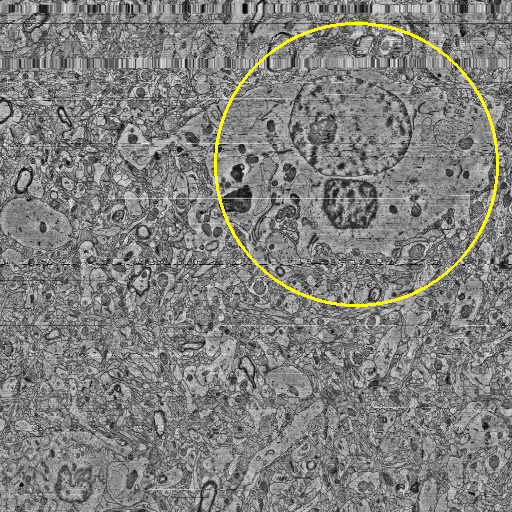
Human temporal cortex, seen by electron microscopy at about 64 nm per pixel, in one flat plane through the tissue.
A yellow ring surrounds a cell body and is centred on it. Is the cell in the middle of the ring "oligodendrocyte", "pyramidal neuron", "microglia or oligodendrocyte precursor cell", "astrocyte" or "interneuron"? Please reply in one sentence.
The ring is centred on an astrocyte.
